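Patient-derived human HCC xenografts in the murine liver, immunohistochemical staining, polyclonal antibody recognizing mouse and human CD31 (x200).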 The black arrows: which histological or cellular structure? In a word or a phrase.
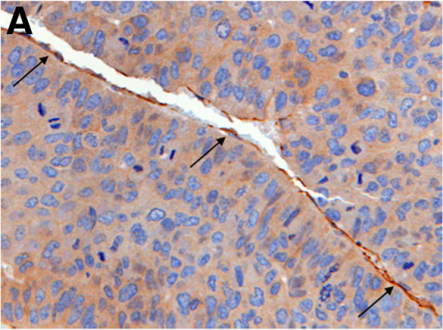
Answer: Sinusoid-like structures.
